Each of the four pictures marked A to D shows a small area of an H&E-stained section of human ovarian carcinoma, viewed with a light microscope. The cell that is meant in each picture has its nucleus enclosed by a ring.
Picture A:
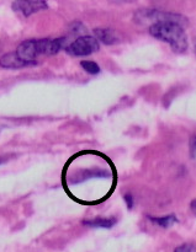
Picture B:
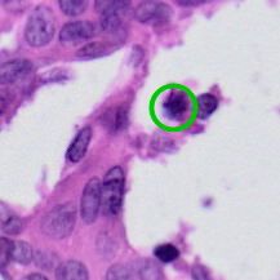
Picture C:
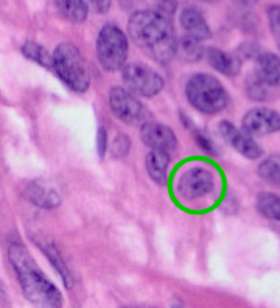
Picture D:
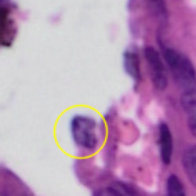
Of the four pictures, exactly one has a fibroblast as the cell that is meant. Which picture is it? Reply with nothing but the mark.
A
